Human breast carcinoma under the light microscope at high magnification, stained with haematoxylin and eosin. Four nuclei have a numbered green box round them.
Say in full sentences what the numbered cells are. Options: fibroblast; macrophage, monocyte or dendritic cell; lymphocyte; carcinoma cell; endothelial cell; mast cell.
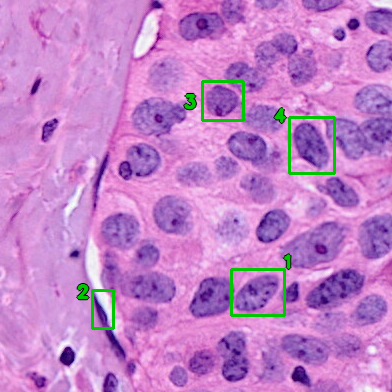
Cells 1, 3 and 4 are carcinoma cells. Cell 2 is an endothelial cell.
